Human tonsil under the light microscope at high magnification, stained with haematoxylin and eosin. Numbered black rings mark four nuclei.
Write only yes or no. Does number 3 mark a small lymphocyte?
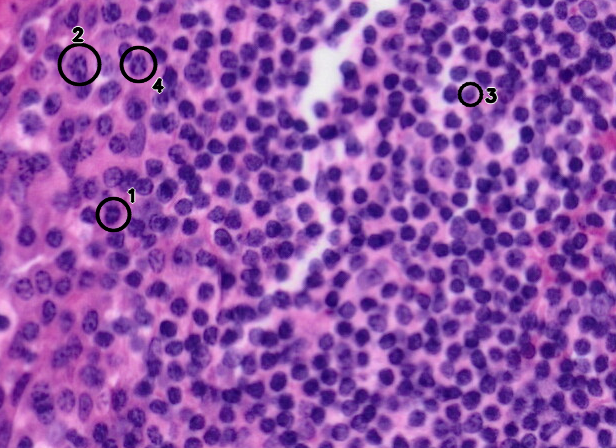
yes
